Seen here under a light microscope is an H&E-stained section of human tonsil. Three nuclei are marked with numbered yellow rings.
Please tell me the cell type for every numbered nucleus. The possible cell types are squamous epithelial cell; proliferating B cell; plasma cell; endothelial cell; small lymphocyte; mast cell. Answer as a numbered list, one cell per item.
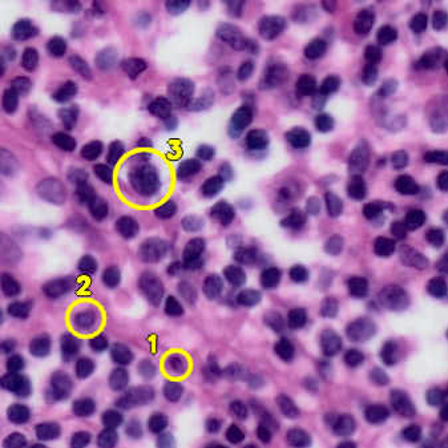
1. endothelial cell
2. endothelial cell
3. proliferating B cell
